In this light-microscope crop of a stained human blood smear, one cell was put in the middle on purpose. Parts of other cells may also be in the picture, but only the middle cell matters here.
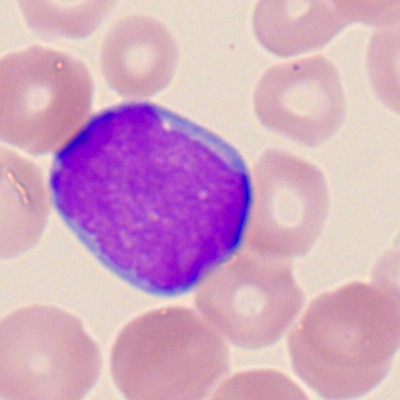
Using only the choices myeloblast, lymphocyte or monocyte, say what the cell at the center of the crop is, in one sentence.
Looking at the middle of the crop, the cell there is a myeloblast.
